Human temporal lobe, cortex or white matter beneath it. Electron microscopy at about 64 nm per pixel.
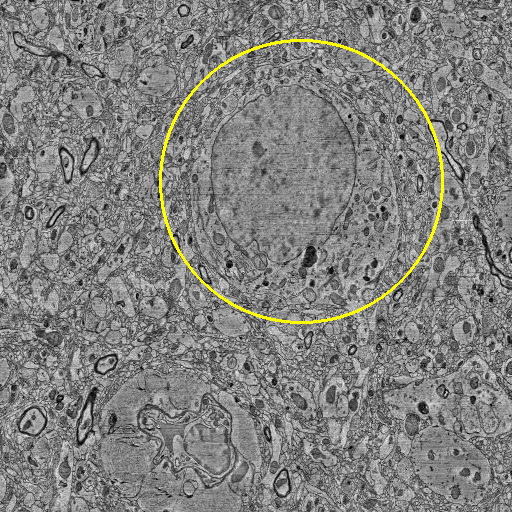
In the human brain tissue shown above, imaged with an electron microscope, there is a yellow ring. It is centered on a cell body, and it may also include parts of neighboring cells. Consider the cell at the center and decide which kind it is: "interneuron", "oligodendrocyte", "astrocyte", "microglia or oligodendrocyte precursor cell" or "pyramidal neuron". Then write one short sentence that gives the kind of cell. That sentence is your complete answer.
This centered cell body is that of an interneuron.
